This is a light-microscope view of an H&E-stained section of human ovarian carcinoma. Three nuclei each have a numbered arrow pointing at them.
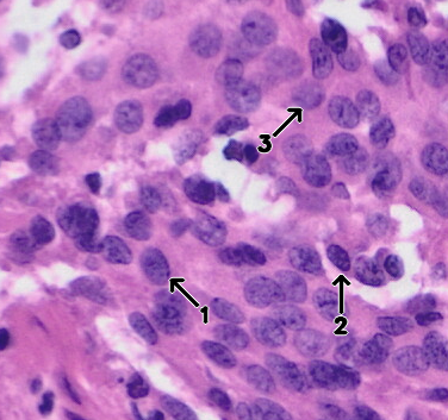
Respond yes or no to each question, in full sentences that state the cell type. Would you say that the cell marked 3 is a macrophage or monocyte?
No, number 3 is assigned to a carcinoma cell, not to a macrophage or monocyte.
